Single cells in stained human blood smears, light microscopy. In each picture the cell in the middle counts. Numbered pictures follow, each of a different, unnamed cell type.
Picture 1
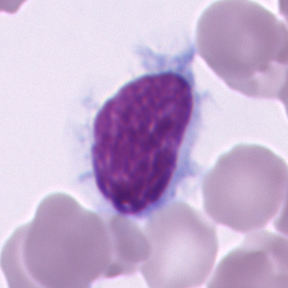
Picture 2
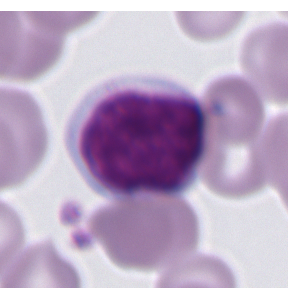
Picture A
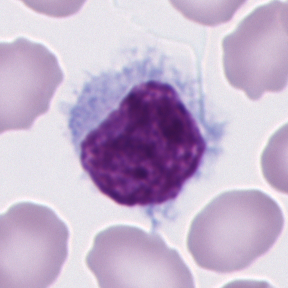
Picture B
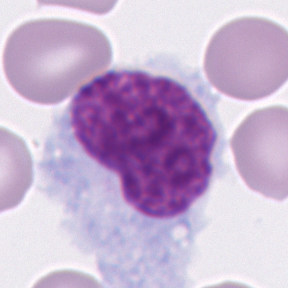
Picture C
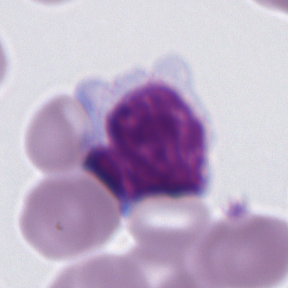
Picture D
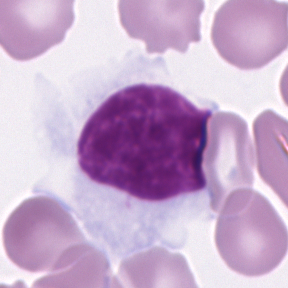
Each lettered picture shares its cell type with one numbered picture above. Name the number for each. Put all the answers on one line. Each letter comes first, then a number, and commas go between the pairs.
A 1, B 1, C 2, D 1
